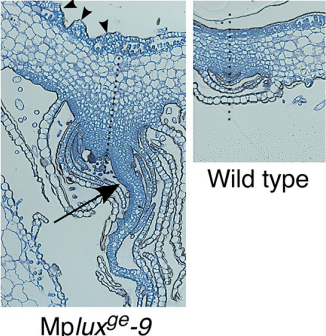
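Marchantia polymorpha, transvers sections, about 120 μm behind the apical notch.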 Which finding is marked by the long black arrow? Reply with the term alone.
Aberrant outgrowth of lobe-like tissue.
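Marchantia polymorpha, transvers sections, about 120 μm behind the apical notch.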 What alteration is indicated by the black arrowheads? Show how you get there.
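The arrowheads sit on the upper surface of the section. Small bumps of cells rise from the outer cell layer. The answer: protrusions of the epidermal layer.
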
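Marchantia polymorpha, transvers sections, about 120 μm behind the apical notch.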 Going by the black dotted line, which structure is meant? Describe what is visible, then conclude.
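The dotted line runs vertically through the thickest, central part of the section. The tissue along it is densely packed with small cells. That points to this answer: midrib.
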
